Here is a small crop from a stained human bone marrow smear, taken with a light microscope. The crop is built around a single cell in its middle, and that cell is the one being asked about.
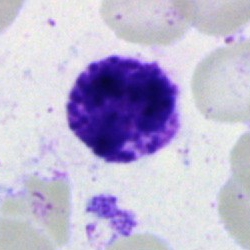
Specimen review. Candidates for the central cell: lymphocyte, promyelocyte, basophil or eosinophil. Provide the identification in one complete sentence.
The cell of interest, in the center, is a basophil.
